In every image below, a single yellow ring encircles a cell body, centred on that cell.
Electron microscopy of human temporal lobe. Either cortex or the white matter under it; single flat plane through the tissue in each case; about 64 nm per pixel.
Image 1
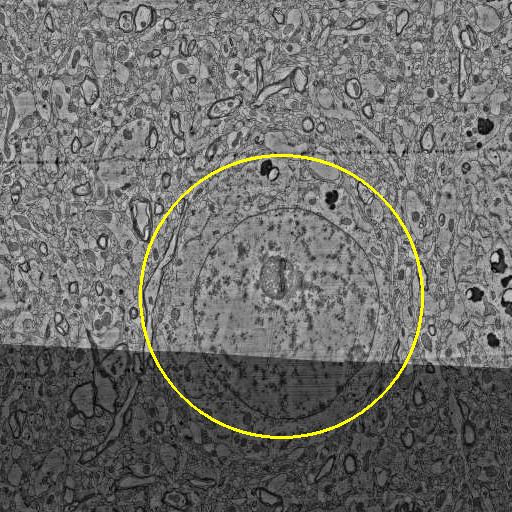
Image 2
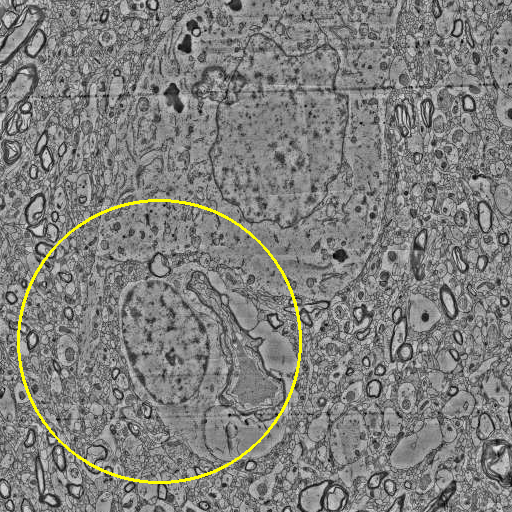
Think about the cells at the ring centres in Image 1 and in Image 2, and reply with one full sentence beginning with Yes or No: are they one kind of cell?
No, the cells centred in the rings of Image 1 and Image 2 are two kinds of cell.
